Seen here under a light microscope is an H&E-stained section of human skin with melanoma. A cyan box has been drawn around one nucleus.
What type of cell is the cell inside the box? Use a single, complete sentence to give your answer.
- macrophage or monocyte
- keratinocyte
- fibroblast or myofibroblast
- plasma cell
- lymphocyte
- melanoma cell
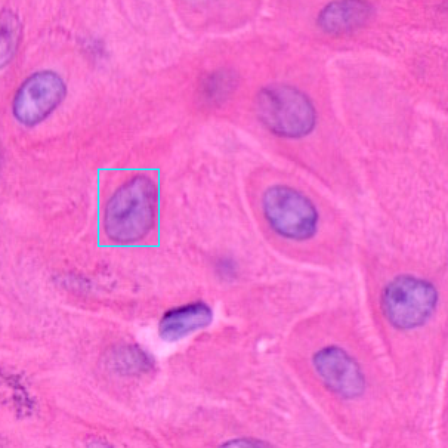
In this section, the cell inside the box is a keratinocyte.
